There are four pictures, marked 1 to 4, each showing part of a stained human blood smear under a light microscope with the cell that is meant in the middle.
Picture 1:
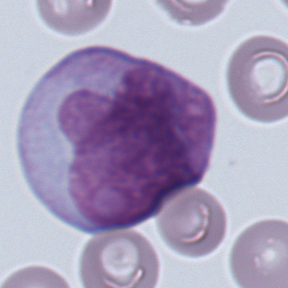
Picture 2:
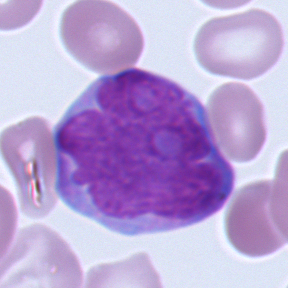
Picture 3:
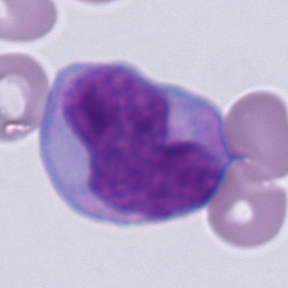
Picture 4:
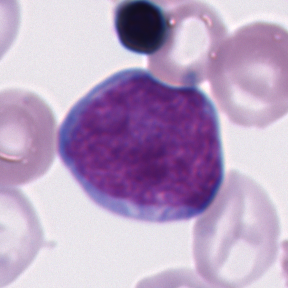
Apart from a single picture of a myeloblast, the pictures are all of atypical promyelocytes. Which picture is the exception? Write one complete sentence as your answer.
The picture with the myeloblast is 4.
